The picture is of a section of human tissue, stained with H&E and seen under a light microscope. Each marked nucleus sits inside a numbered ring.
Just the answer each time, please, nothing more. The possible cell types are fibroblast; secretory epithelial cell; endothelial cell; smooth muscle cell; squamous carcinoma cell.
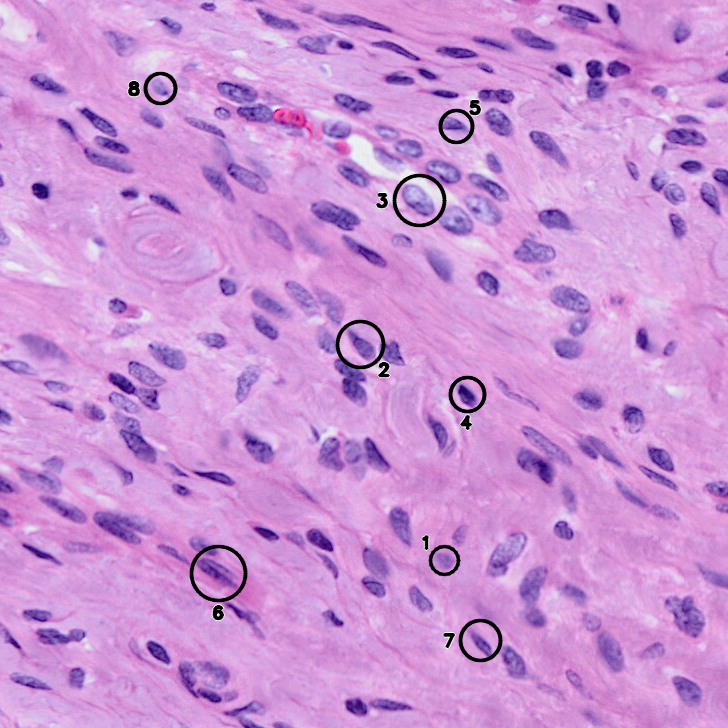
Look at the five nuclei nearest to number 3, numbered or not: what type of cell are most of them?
endothelial cell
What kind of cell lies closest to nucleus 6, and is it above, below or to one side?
a smooth muscle cell, above and to the left of nucleus 6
